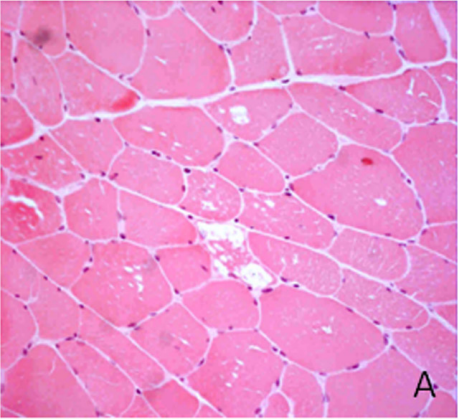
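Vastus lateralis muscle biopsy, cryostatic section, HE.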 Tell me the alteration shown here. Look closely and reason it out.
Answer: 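Several muscle fibres contain clear, unstained spaces inside them. The clear spaces differ in size from fibre to fibre. So: vacuoles of variable size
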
